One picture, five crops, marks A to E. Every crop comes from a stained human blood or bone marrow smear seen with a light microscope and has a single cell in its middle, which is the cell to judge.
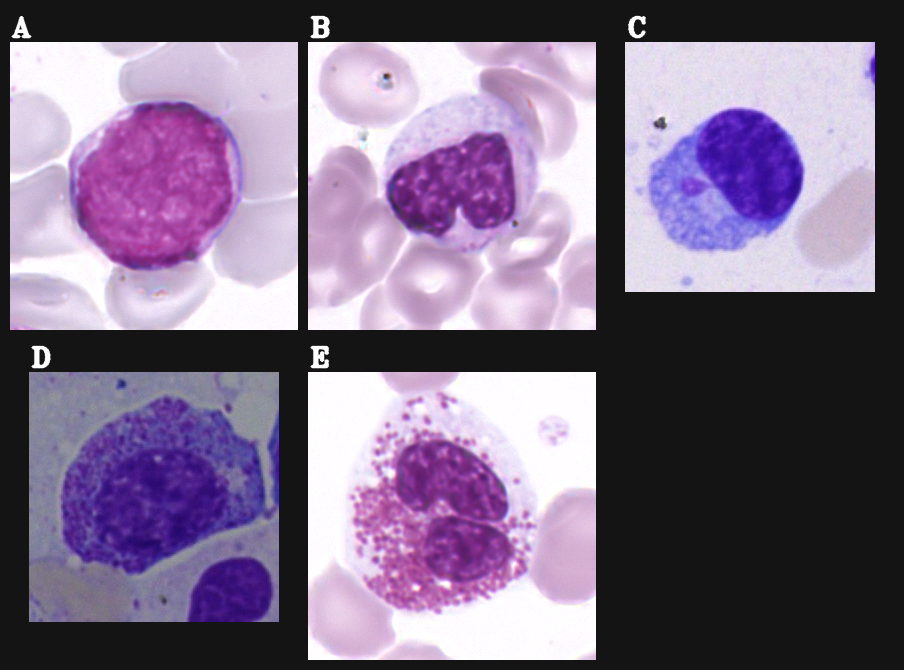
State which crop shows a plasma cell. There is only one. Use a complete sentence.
Look at crop C; that is the one with a plasma cell in its center.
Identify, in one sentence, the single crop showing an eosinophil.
Crop E is the correct crop, and it shows an eosinophil.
